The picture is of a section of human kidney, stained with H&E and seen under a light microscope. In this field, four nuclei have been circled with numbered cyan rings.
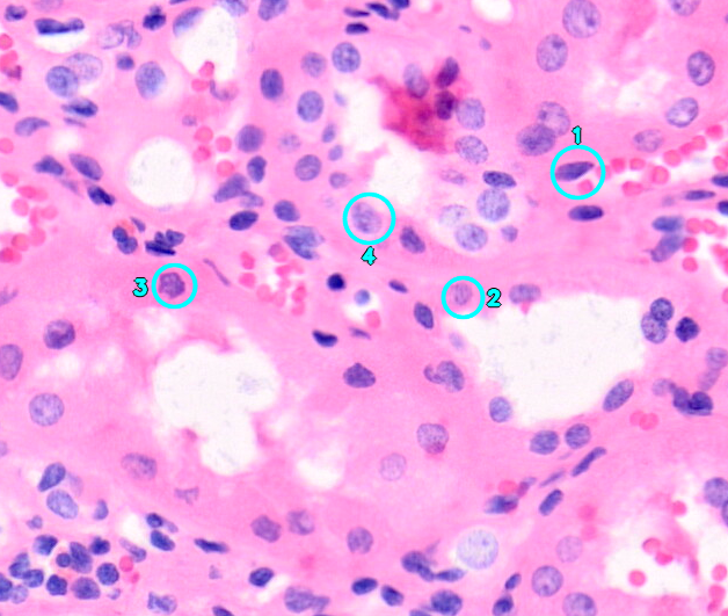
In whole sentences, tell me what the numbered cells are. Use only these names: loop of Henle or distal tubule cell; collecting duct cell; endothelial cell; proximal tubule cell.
Cell 1 is an endothelial cell, cell 2 is a loop of Henle or distal tubule cell, cell 3 is a proximal tubule cell and cell 4 is a collecting duct cell.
